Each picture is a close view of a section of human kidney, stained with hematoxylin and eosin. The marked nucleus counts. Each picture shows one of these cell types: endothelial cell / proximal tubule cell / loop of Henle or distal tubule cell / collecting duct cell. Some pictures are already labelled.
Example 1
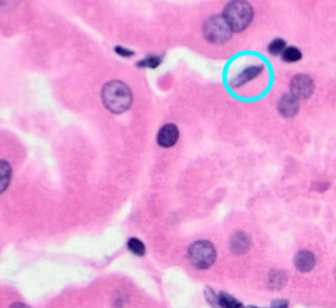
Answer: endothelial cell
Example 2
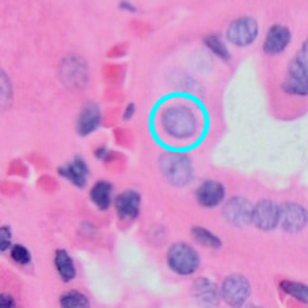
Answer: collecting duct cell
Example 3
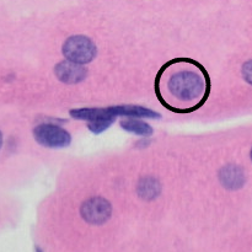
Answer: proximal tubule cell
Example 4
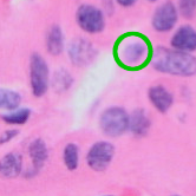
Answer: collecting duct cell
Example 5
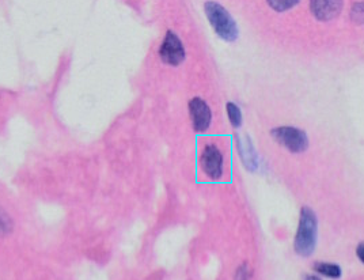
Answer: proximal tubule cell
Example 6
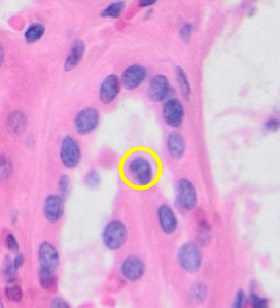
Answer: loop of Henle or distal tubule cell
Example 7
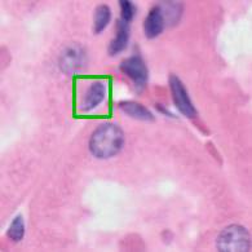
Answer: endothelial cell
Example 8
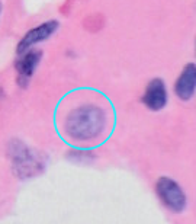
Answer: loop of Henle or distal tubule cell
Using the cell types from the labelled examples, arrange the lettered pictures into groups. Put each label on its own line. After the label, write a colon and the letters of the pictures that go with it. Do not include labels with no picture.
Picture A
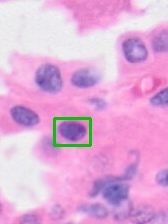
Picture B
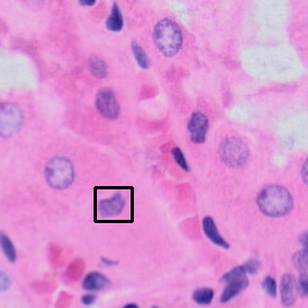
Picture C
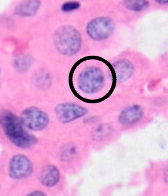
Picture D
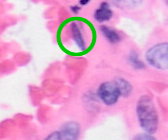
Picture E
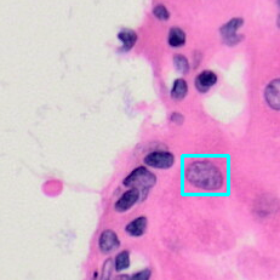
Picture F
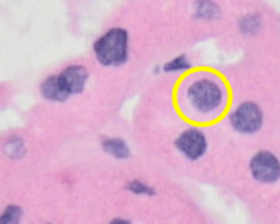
endothelial cell: D
proximal tubule cell: B, E
loop of Henle or distal tubule cell: A, C, F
